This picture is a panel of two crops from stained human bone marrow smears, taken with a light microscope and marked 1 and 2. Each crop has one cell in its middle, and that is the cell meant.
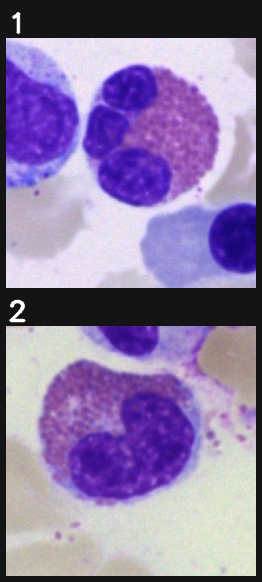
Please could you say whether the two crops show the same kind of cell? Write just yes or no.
yes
